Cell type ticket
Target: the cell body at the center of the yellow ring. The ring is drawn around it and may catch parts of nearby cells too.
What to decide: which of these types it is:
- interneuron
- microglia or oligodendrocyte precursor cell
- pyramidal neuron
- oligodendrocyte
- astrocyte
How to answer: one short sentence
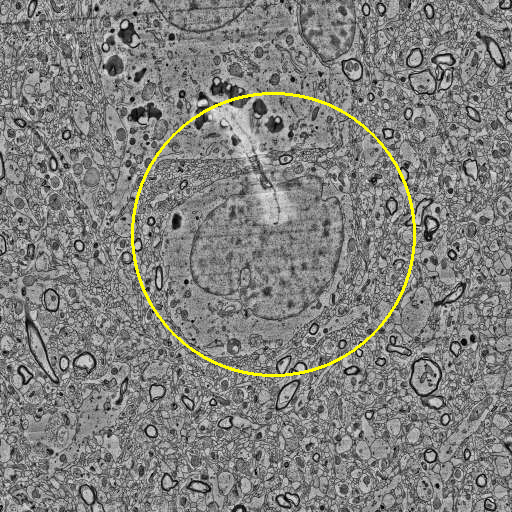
The cell at the center of the ring is an interneuron.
